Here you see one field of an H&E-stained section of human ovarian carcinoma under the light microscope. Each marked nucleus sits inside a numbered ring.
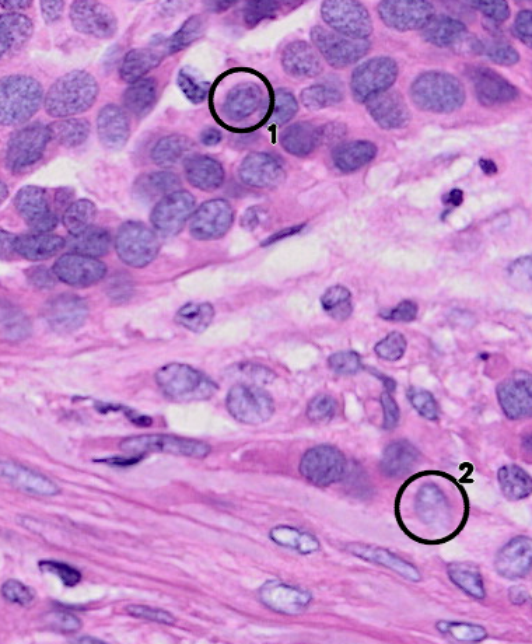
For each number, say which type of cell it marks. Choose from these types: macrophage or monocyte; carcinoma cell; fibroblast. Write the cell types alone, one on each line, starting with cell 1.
carcinoma cell
fibroblast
